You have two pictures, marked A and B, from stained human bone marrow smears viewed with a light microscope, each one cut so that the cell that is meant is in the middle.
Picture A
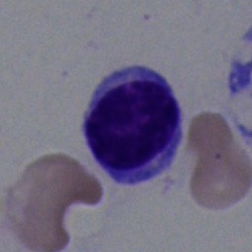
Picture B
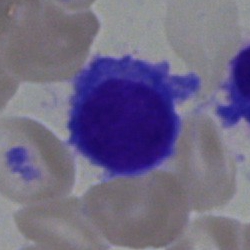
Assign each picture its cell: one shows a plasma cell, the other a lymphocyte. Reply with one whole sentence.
Picture A shows a lymphocyte and picture B shows a plasma cell.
